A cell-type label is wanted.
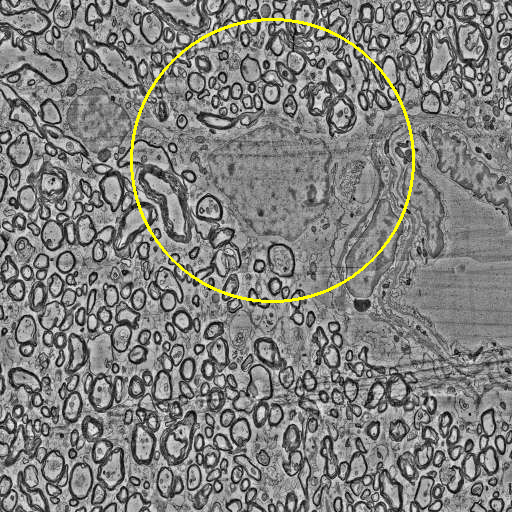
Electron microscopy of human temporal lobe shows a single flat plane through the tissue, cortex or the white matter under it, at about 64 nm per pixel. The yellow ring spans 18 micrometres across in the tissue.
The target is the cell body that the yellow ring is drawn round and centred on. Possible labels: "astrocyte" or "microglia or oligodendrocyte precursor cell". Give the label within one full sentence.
Of the labels offered, the cell in the middle of the yellow ring is an astrocyte.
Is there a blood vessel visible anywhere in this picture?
Yes, the image shows a blood vessel.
